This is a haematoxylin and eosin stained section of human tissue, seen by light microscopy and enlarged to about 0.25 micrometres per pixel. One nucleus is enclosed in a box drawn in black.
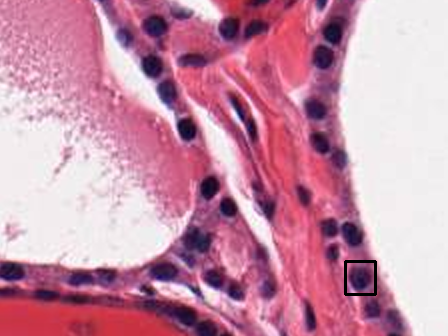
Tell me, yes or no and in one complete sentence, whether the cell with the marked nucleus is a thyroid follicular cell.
Yes, the marked nucleus is the nucleus of a thyroid follicular cell.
